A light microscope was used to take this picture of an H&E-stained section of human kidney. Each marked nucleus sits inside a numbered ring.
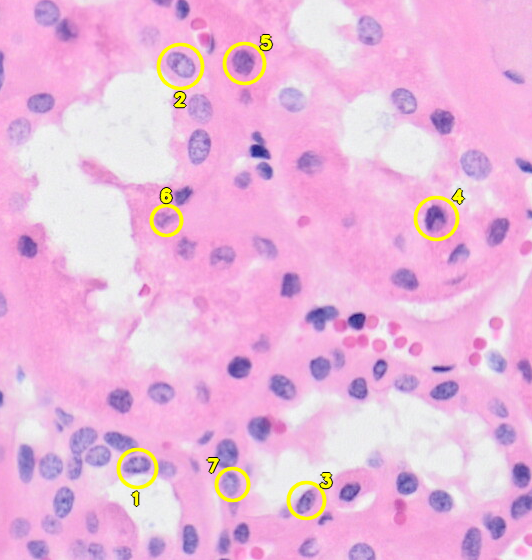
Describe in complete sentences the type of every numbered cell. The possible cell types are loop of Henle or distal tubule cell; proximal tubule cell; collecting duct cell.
Cell 1 is a collecting duct cell, cell 2 is a proximal tubule cell, cell 3 is a collecting duct cell, cell 4 is a proximal tubule cell, cell 5 is a proximal tubule cell, cell 6 is a proximal tubule cell and cell 7 is a collecting duct cell.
